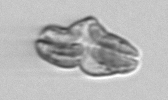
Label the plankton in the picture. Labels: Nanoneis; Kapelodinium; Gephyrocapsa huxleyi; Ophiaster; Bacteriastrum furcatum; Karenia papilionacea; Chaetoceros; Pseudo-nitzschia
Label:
Karenia papilionacea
